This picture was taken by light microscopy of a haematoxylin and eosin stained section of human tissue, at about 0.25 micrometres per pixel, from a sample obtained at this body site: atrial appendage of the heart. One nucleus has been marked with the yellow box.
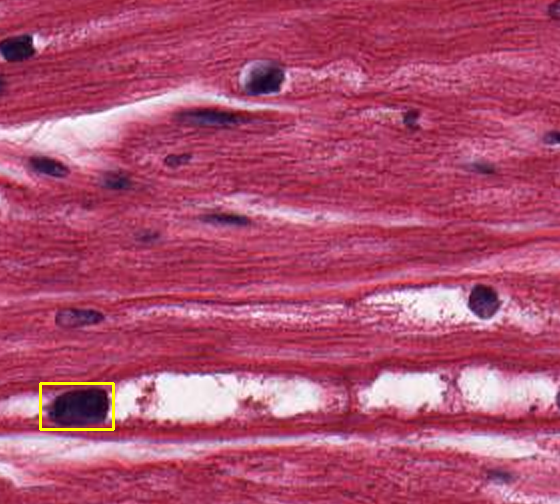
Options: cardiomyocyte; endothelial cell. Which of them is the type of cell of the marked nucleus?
cardiomyocyte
